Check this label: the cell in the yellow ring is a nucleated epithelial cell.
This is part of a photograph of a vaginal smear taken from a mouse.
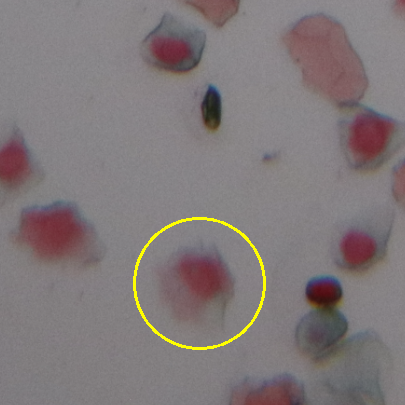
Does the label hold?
The label holds; the cell is a nucleated epithelial cell.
